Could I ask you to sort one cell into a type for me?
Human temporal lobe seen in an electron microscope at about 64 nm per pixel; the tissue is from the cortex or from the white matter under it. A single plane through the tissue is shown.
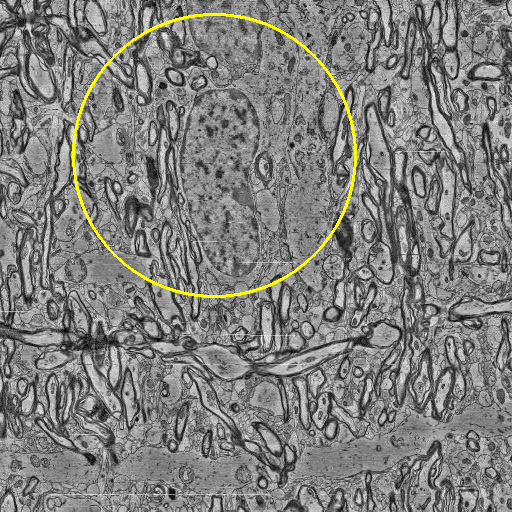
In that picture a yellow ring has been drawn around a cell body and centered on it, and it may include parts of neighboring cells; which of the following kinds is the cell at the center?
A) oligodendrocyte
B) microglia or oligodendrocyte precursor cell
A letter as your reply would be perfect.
B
